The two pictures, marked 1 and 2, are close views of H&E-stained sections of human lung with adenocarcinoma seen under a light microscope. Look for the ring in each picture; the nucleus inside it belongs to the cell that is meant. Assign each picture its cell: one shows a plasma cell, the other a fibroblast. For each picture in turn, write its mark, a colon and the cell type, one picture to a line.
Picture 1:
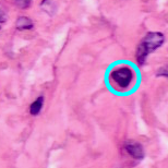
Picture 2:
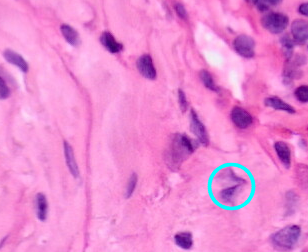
1: plasma cell
2: fibroblast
